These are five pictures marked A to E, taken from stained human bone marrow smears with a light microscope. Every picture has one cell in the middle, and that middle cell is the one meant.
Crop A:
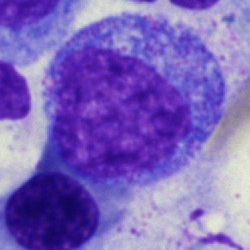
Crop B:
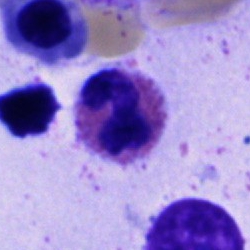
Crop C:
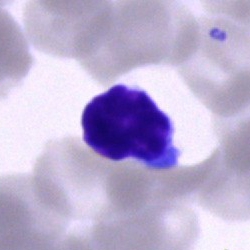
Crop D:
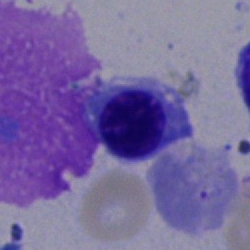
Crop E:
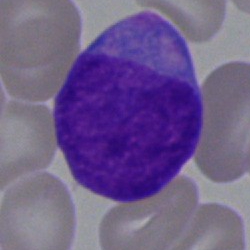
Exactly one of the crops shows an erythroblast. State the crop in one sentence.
Crop D is the crop that displays an erythroblast.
